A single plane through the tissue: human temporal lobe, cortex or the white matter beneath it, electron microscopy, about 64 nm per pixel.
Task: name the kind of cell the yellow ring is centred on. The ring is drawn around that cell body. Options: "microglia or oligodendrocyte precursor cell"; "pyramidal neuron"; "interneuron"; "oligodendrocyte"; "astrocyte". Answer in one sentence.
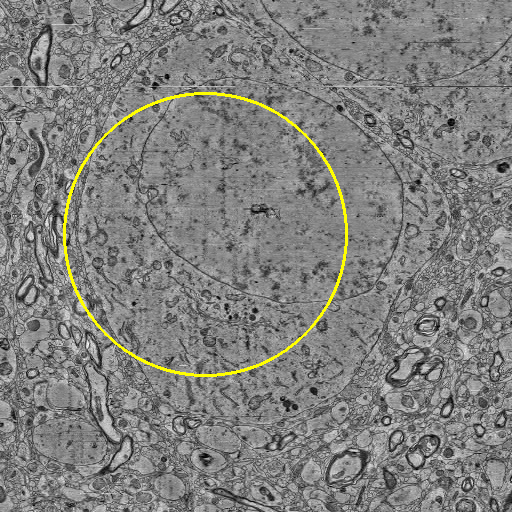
This cell body belongs to a pyramidal neuron.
